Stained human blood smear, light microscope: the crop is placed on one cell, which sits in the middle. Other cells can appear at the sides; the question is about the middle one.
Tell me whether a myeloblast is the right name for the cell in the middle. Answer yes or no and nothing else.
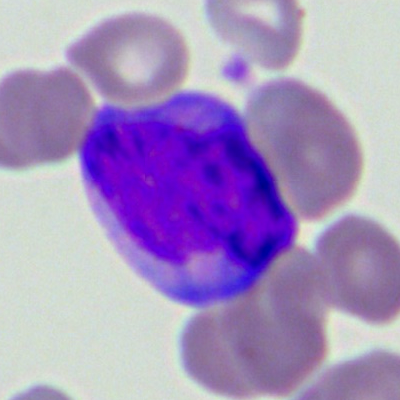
yes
